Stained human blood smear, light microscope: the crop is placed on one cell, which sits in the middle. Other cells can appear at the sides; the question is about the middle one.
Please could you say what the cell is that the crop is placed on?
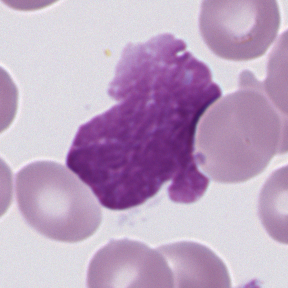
smudge cell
